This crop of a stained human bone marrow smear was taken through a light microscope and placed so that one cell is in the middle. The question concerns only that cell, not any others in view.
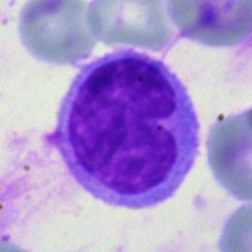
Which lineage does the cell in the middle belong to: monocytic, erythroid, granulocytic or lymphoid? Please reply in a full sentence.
The cell at the center of the crop is assigned monocytic lineage.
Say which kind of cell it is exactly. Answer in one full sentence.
In the center of this field lies a monocyte.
